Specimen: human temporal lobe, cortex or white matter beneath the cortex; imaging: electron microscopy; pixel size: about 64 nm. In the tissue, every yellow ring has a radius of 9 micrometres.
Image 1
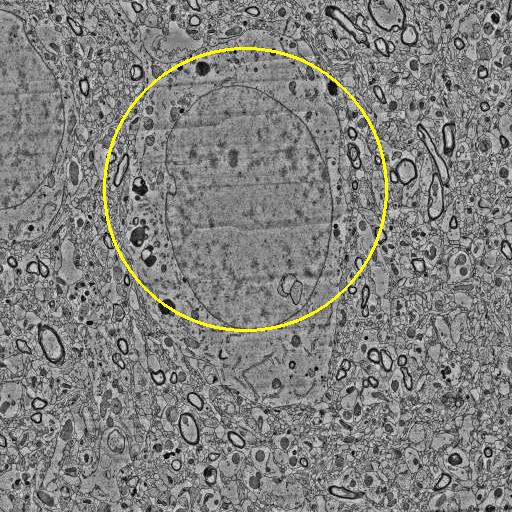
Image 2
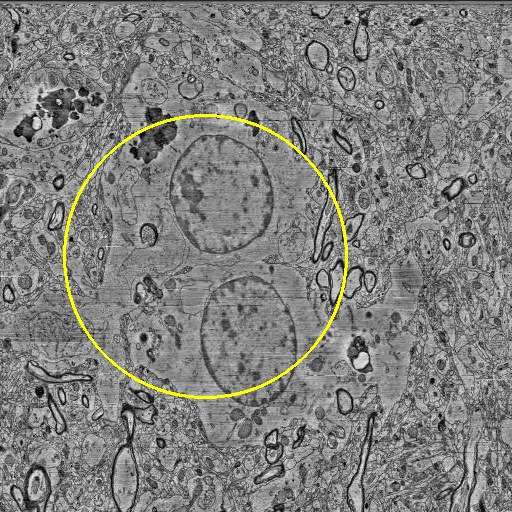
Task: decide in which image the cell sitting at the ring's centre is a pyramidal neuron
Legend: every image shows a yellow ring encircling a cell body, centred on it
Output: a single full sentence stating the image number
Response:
In image 1, the cell at the middle of the ring is the match.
